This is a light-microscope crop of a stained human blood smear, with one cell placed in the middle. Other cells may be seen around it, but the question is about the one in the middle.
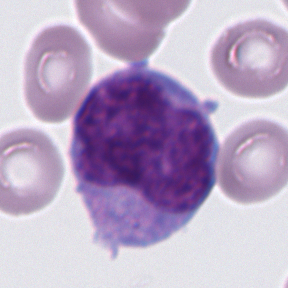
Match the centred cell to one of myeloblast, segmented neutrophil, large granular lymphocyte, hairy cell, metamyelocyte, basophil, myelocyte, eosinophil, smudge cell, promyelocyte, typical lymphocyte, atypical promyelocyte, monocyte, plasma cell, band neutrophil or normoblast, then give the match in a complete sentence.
Among the cells in view, the one in the middle is an atypical promyelocyte.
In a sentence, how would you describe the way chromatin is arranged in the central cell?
One feature to record is coarsely clumped chromatin.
